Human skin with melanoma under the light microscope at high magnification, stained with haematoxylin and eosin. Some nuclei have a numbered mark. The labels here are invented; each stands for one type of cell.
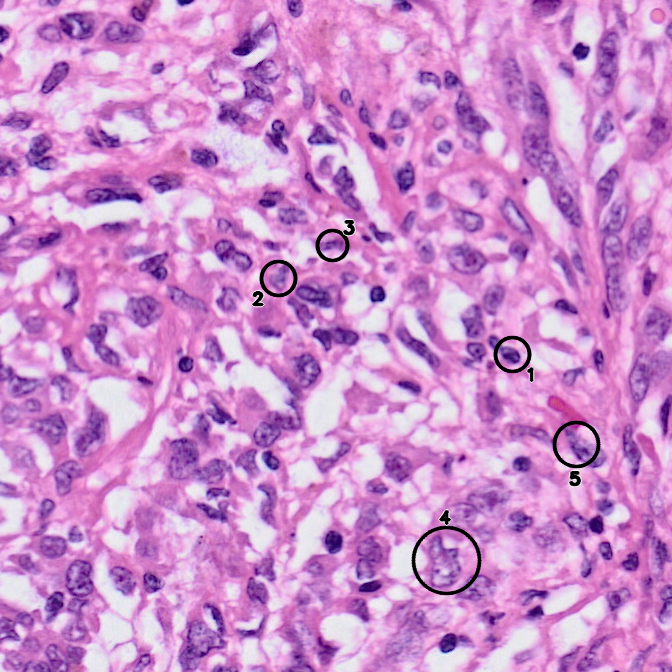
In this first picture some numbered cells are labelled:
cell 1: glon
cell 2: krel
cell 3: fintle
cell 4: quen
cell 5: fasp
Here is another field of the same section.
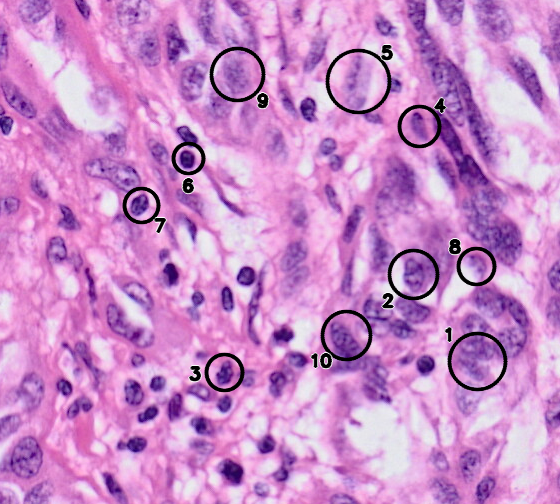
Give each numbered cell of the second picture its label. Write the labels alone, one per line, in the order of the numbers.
quen
quen
glon
krel
fintle
glon
glon
quen
quen
quen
